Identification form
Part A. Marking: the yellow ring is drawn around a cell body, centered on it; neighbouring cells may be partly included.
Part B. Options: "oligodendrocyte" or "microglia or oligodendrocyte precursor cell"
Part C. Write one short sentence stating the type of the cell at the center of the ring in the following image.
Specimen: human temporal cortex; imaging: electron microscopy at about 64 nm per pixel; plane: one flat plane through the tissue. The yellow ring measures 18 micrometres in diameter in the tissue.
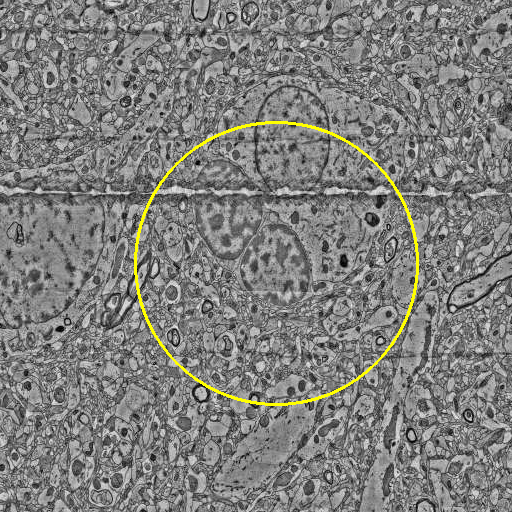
The center of the ring holds an oligodendrocyte.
